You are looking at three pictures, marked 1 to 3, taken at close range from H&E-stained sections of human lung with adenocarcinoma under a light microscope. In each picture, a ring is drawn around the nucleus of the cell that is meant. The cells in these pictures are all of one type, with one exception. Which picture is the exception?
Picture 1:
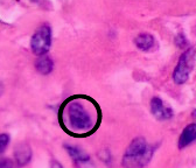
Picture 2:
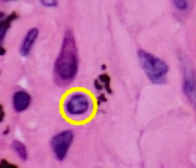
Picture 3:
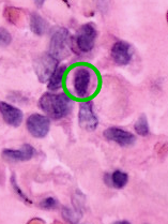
2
